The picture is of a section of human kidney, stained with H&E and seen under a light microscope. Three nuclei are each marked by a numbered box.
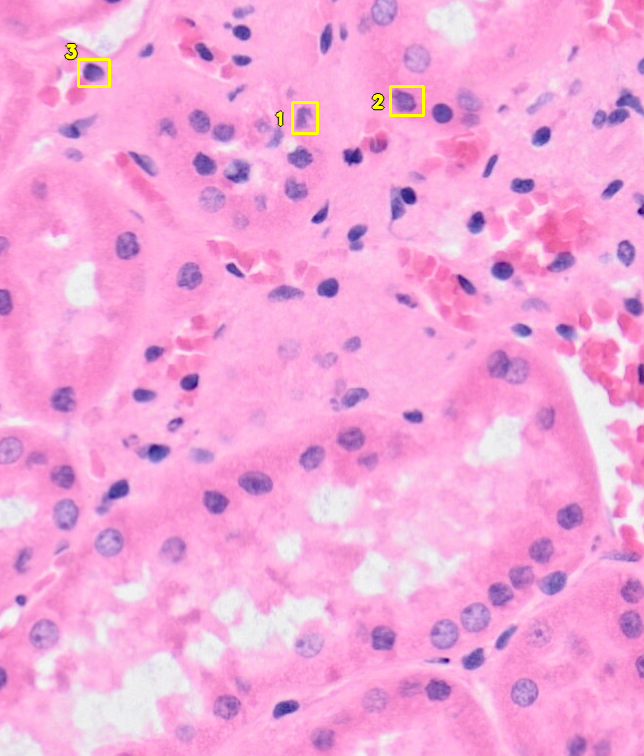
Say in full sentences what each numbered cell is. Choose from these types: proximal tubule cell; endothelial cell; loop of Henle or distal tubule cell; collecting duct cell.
Cell 1 is a loop of Henle or distal tubule cell. Cell 2 is a proximal tubule cell. Cell 3 is an endothelial cell.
